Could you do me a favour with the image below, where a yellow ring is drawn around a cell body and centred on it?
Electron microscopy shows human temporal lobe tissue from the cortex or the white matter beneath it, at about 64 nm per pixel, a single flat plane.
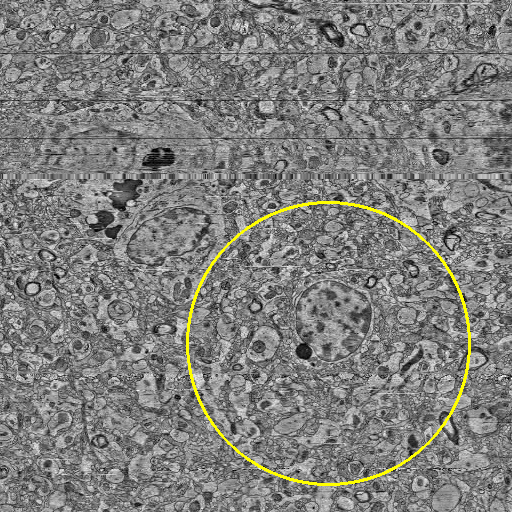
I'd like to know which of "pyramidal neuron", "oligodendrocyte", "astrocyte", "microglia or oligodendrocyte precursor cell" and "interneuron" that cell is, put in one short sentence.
The cell at the ring's centre is a microglial cell or oligodendrocyte precursor cell.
